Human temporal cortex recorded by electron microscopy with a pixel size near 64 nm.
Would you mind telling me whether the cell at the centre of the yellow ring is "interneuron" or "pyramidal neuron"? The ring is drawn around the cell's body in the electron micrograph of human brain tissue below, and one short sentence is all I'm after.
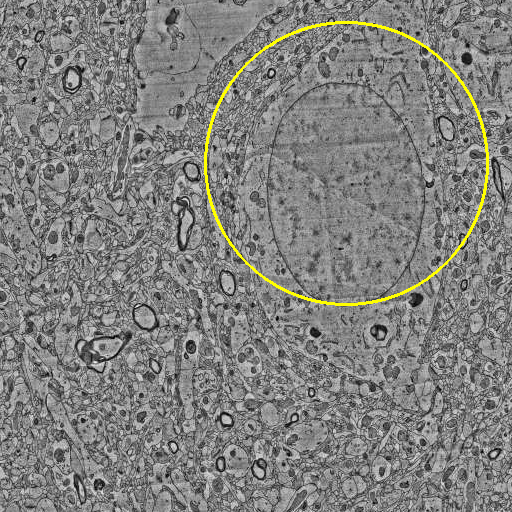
In the centre of the ring lies a pyramidal neuron.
